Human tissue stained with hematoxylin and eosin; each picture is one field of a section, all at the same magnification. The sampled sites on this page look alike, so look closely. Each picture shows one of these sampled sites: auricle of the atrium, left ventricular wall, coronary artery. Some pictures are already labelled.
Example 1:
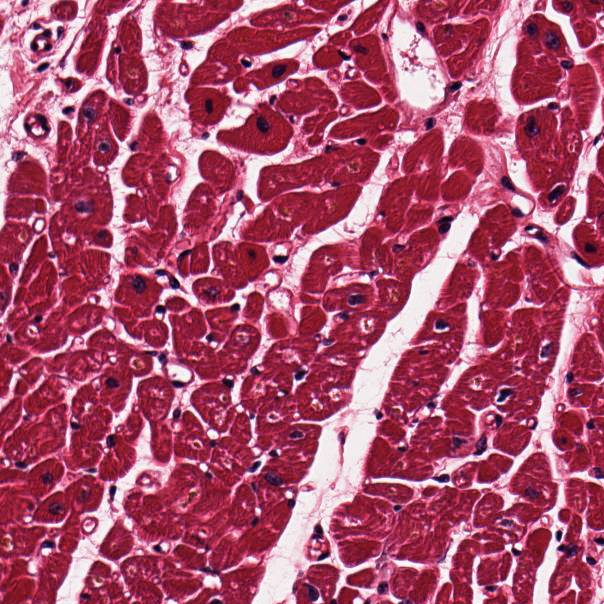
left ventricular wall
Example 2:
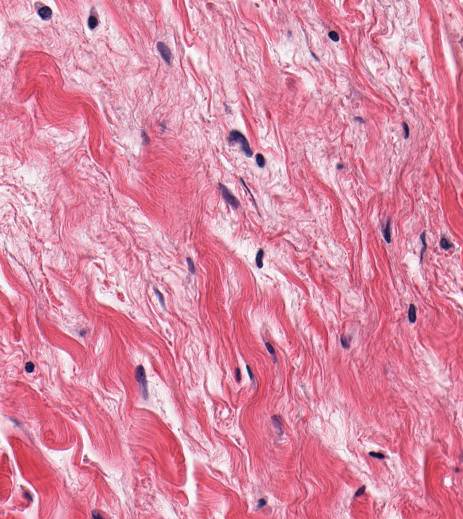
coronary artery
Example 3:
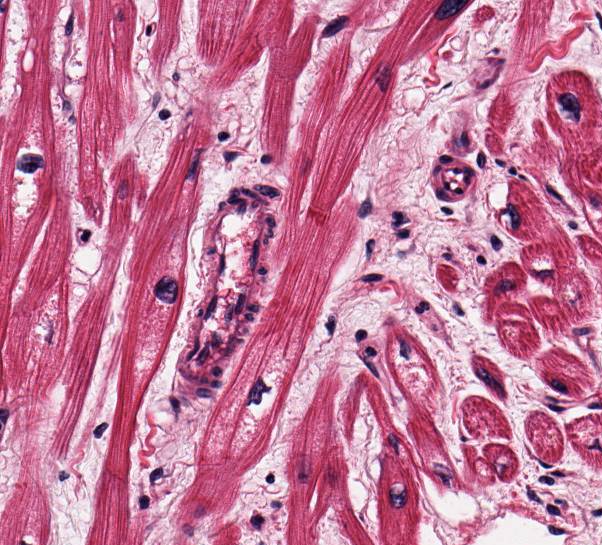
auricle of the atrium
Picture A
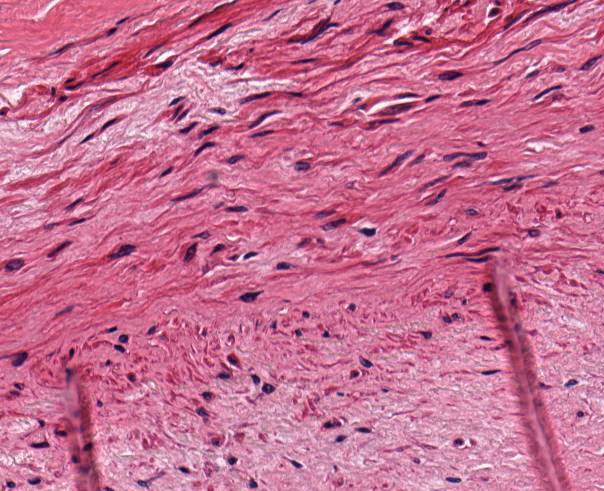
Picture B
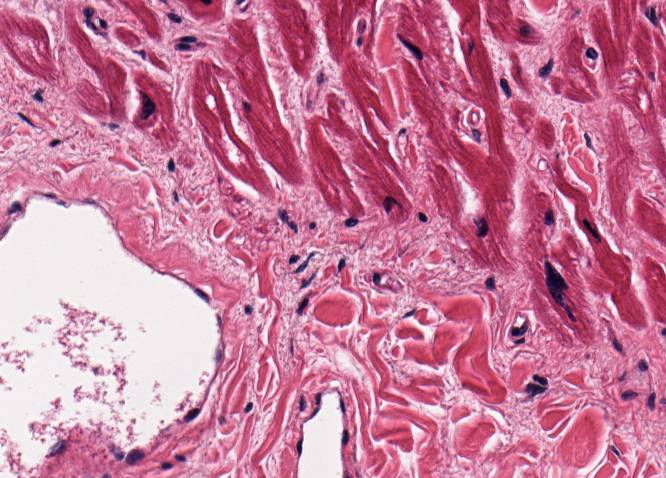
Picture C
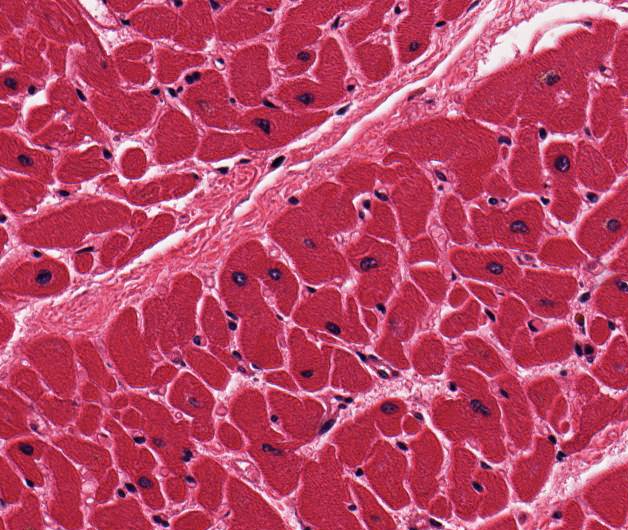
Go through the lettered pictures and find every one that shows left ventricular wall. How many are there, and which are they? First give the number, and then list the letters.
1, namely C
